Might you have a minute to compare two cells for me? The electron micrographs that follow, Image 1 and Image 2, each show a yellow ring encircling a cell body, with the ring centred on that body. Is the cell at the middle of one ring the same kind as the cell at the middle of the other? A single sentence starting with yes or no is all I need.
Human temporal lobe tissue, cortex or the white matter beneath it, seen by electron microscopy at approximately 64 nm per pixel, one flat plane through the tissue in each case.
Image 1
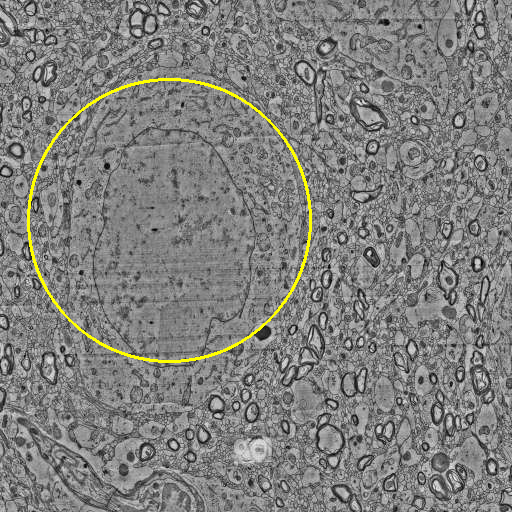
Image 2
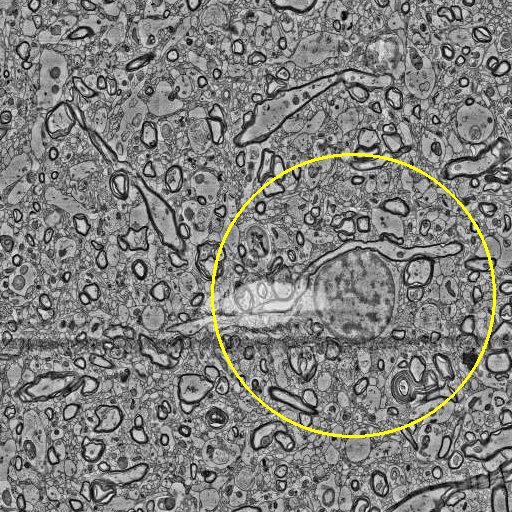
No, the cells in the middle of the two rings are of two separate kinds.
